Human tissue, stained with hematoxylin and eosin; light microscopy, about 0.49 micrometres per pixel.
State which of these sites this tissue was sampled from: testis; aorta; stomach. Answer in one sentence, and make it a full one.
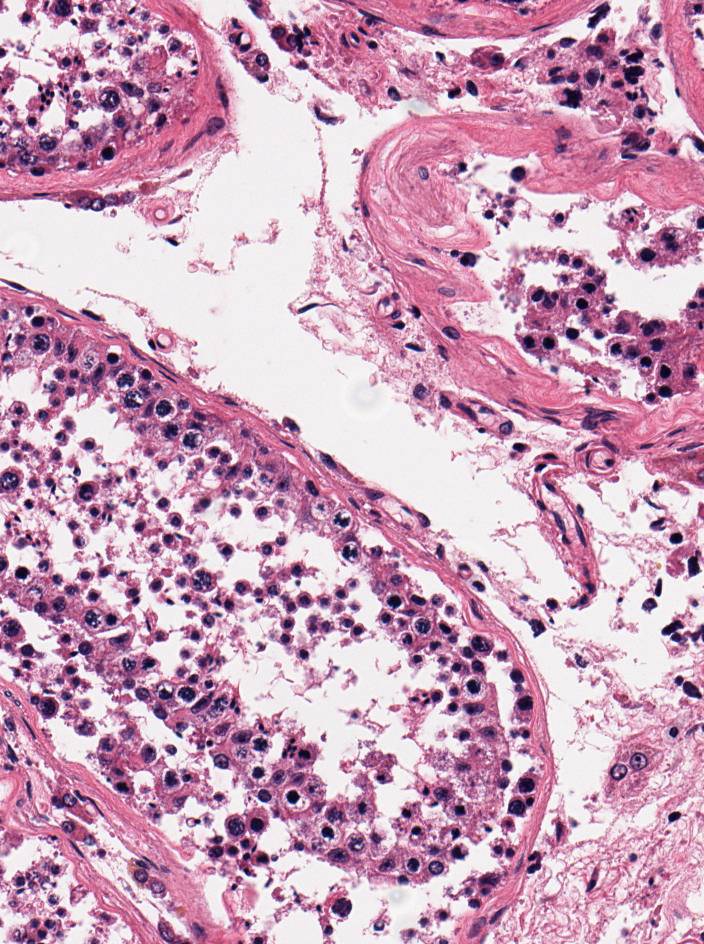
What this section contains is tissue from the testis.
